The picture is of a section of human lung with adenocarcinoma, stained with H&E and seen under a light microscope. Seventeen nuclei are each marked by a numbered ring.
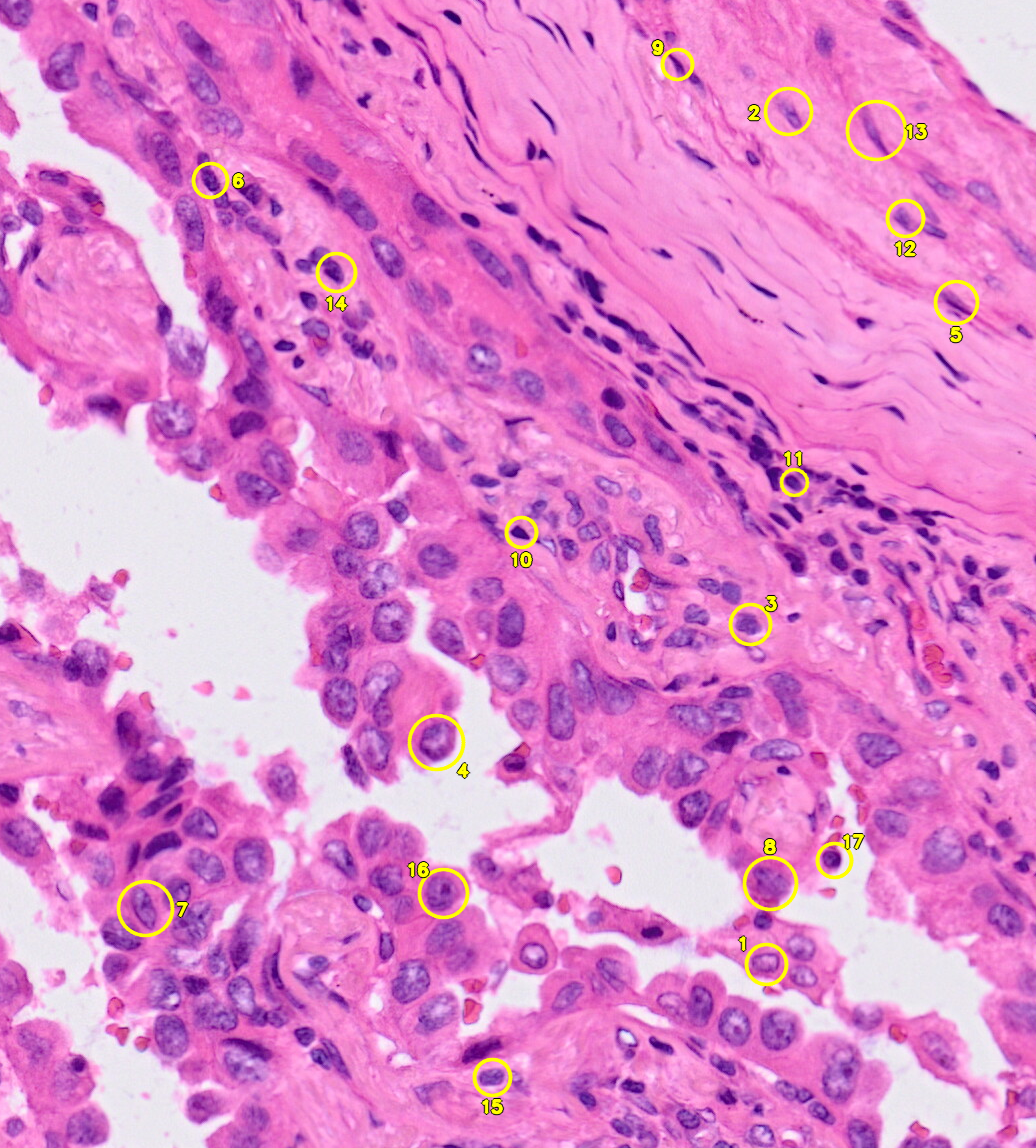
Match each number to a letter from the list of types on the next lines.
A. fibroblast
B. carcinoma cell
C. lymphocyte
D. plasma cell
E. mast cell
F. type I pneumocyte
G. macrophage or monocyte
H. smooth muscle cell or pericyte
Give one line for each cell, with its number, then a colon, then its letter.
1: G
2: H
3: C
4: B
5: H
6: C
7: B
8: B
9: H
10: C
11: C
12: H
13: H
14: C
15: C
16: B
17: C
